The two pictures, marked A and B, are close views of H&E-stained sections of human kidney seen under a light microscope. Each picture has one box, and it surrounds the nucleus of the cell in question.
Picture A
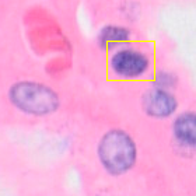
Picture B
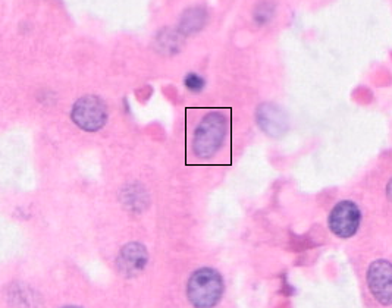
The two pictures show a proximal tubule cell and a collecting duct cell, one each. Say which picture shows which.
A: collecting duct cell
B: proximal tubule cell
